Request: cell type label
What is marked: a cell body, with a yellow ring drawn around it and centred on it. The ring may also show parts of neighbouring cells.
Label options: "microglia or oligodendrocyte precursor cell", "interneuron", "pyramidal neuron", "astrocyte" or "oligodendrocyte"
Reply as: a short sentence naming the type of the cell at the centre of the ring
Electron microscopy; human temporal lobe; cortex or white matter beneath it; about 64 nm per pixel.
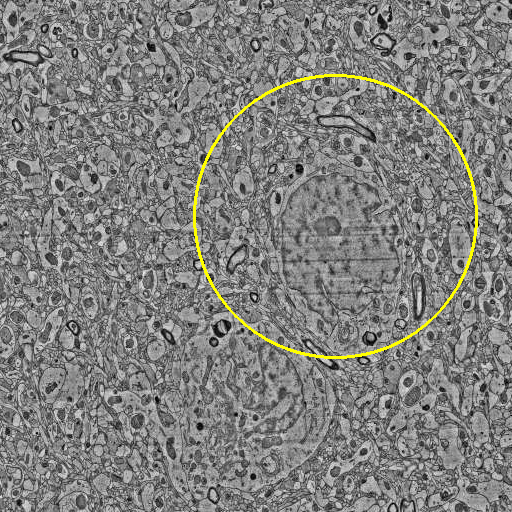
The marked cell body is that of an interneuron.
